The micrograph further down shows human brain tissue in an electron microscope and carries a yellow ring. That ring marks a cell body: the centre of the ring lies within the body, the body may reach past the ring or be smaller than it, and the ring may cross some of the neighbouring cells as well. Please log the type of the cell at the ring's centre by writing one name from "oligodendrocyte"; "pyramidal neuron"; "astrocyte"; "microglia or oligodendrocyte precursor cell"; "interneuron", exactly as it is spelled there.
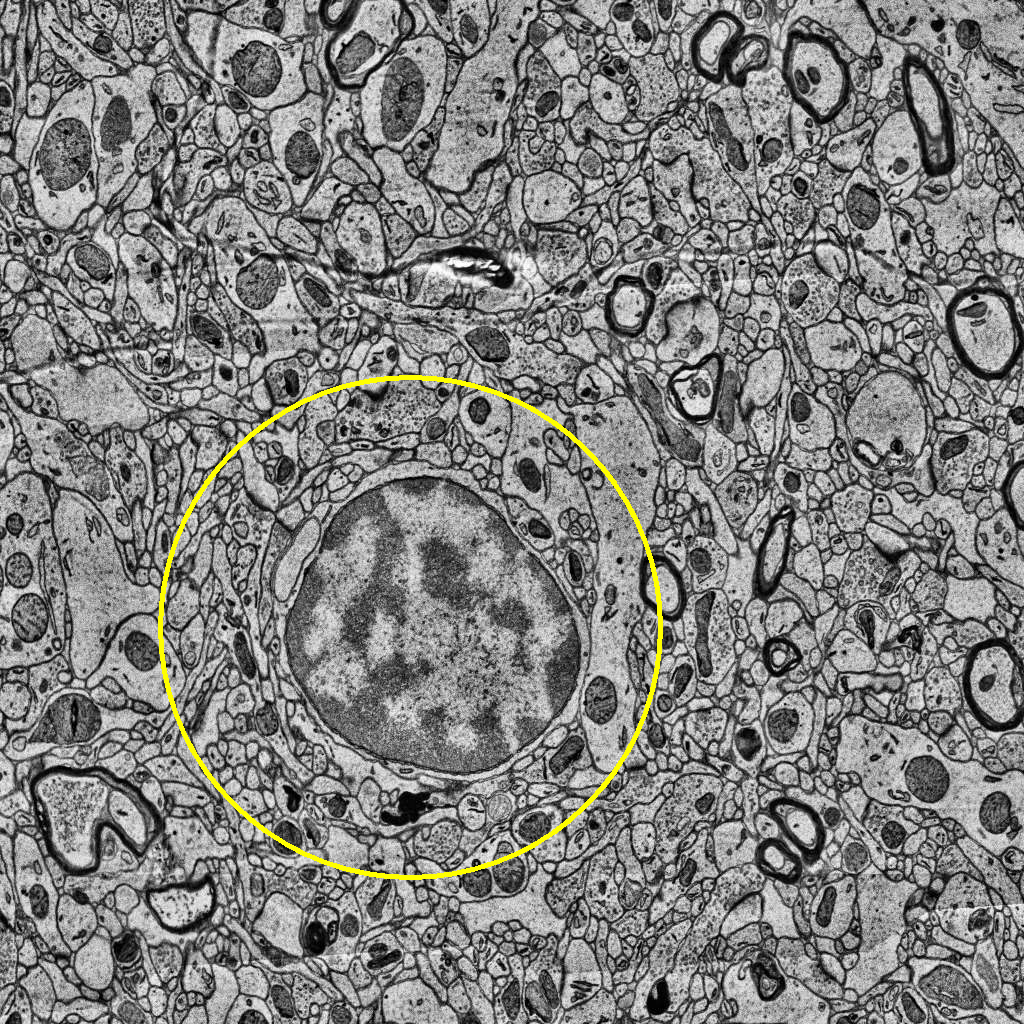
microglia or oligodendrocyte precursor cell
